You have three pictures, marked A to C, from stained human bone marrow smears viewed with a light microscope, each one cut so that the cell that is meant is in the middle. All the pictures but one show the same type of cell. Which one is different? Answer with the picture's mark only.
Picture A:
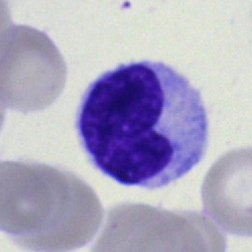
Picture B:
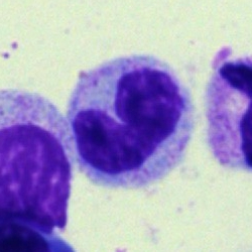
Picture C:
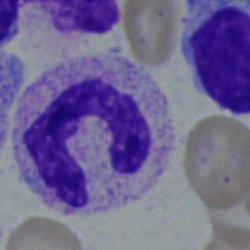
A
